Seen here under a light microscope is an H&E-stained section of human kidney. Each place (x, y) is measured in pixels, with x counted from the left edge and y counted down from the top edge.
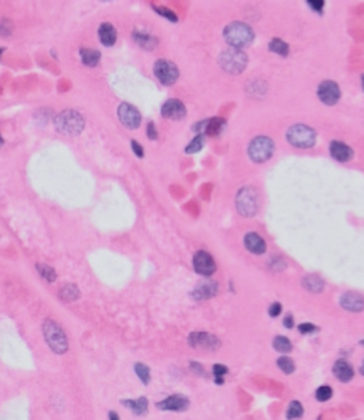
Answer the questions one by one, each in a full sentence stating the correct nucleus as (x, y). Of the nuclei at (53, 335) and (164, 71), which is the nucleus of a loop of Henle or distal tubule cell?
It is the nucleus at (164, 71) that forms part of a loop of Henle or distal tubule cell.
